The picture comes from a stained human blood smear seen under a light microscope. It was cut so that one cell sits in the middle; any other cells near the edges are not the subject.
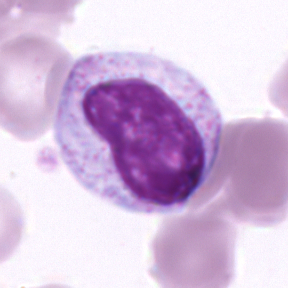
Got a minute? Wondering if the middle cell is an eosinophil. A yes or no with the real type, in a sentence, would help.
No, rather than being an eosinophil, the central cell is a myelocyte.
